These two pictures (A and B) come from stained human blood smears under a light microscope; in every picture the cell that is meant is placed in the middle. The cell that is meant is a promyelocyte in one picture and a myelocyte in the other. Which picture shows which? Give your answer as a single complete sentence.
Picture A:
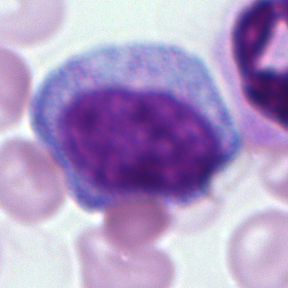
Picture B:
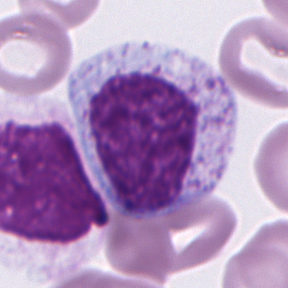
Picture A shows a promyelocyte and picture B shows a myelocyte.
